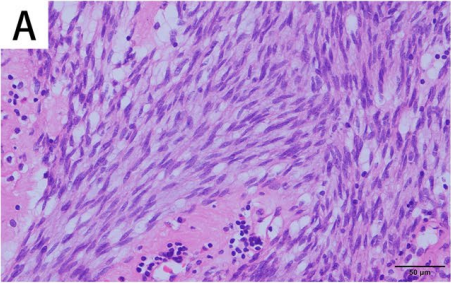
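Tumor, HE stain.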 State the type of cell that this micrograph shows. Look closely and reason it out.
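Spindle shaped cells. The cells are elongated and tapered at both ends. They lie in streaming parallel bundles.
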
